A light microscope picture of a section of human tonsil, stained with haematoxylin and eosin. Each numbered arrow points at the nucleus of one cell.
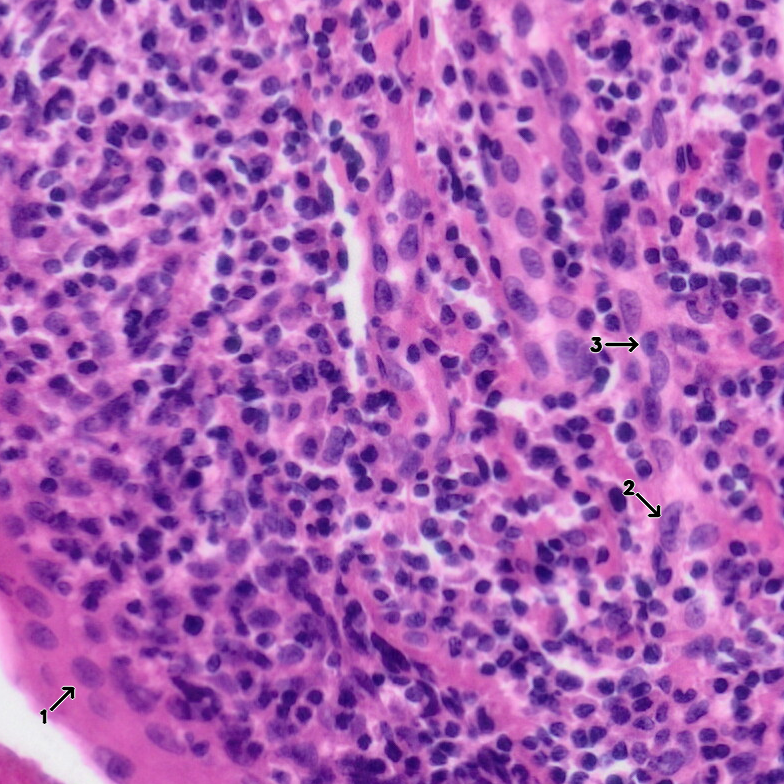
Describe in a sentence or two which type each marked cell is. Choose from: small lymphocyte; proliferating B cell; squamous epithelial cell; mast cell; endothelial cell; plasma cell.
Cell 1 is a squamous epithelial cell, cell 2 is an endothelial cell and cell 3 is an endothelial cell.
